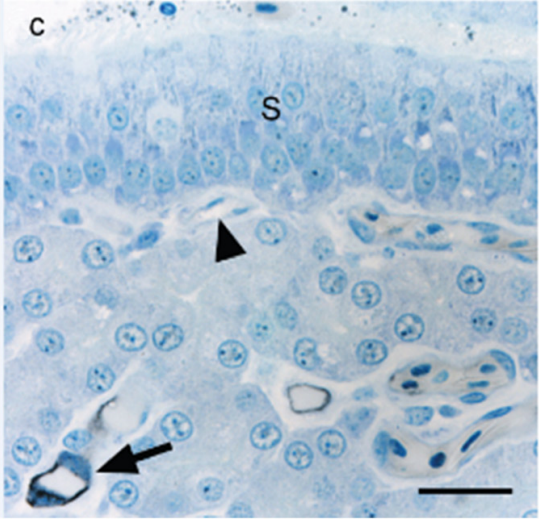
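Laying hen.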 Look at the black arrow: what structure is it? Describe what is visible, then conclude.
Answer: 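The arrow points at a small round lumen. The lumen is rimmed by a thin wall stained dark black. That points to this answer: capillaries.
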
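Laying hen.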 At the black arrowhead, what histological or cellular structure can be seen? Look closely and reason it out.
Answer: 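Capillaries. The arrowhead points at a narrow vessel with flattened elongated nuclei in the connective tissue beneath the epithelium.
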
